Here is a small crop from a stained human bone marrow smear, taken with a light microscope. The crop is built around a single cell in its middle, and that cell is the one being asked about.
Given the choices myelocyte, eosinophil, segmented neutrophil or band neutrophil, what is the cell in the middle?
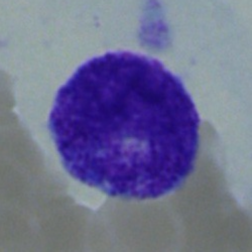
myelocyte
